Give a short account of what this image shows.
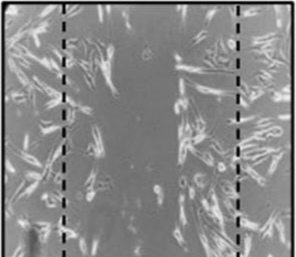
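On both sides of two vertical dashed lines the cells lie crowded together: long, spindle-shaped bodies with tapering processes, packed side by side. Between the lines the dish is partly bare, yet many cells have moved into the gap. They lie loosely and mostly along the long axis, some stretched out, some shorter and rounder with bright rims. The band of cells is densest near each edge and thins toward the middle of the wound.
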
